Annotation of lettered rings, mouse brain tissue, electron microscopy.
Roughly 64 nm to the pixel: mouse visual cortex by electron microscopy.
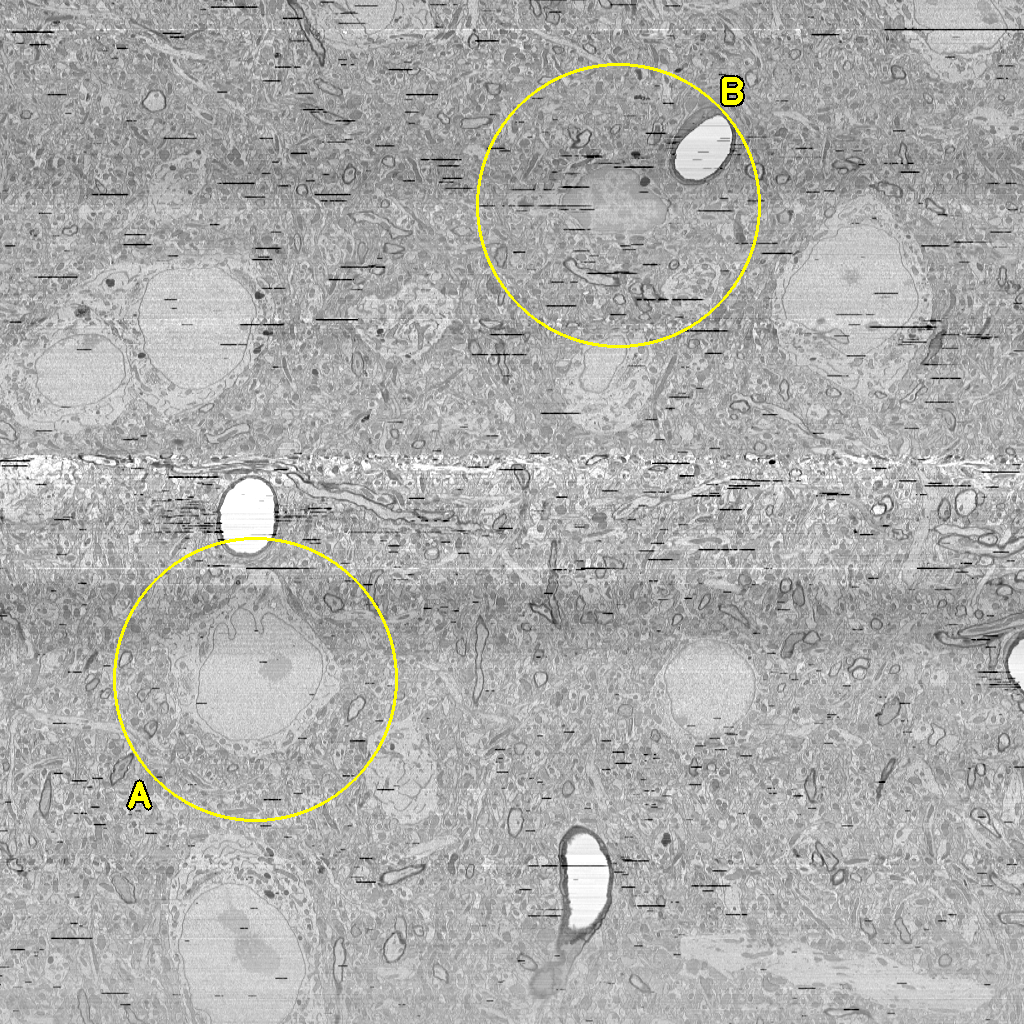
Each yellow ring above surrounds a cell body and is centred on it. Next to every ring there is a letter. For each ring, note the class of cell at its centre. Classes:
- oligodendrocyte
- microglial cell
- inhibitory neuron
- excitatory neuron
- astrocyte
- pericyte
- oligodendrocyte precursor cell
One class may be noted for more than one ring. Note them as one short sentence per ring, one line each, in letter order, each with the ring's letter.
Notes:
The class noted at ring A is an excitatory neuron.
The class noted at ring B is a microglial cell.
